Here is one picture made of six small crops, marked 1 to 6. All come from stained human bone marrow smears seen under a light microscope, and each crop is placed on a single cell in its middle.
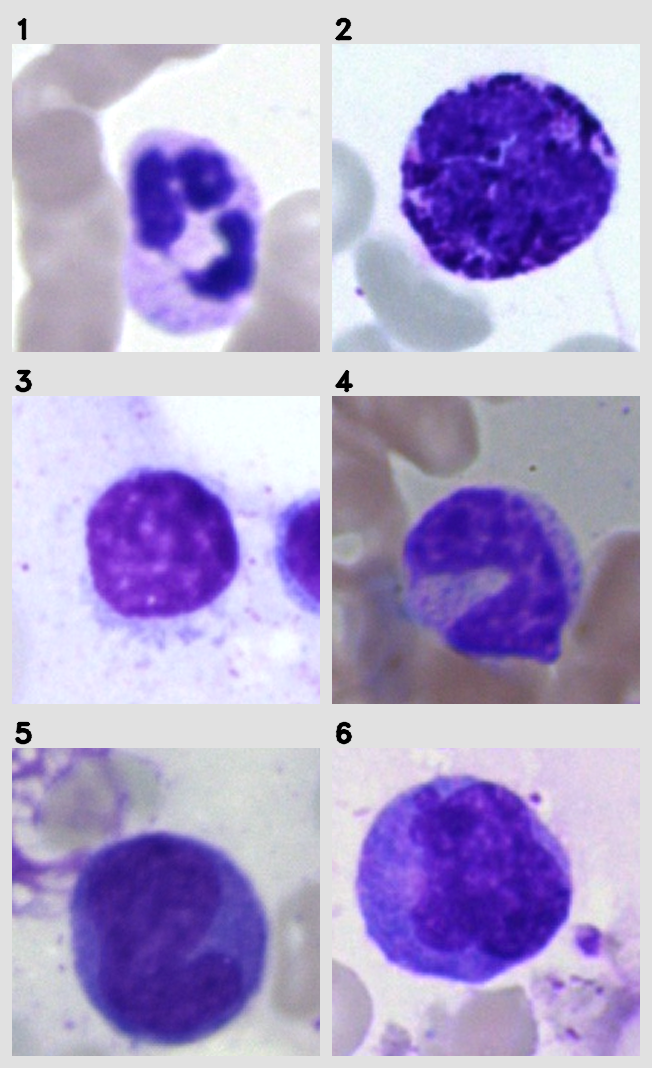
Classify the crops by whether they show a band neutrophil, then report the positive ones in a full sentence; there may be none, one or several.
Among these crops, only crop 4 contains a band neutrophil.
